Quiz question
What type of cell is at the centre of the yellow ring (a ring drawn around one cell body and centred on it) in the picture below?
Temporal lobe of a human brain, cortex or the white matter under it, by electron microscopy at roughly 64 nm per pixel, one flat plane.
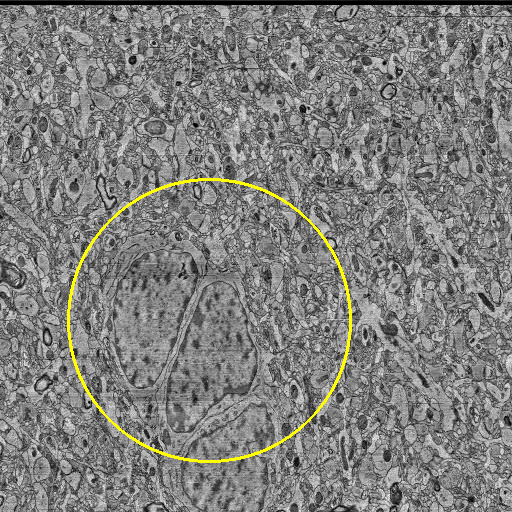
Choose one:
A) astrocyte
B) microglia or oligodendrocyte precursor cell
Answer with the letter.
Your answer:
B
